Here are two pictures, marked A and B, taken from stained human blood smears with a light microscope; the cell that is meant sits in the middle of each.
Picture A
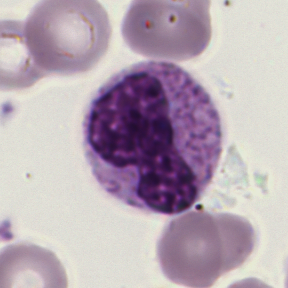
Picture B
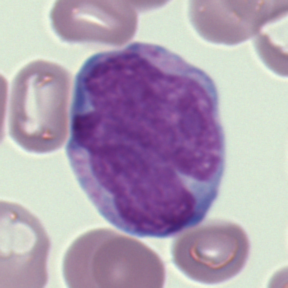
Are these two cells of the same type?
no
